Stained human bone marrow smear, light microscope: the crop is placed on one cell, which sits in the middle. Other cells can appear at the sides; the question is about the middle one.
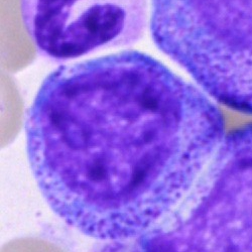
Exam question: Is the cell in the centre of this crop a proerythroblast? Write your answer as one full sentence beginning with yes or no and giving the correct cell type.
No, rather than a proerythroblast, the central cell is a promyelocyte.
